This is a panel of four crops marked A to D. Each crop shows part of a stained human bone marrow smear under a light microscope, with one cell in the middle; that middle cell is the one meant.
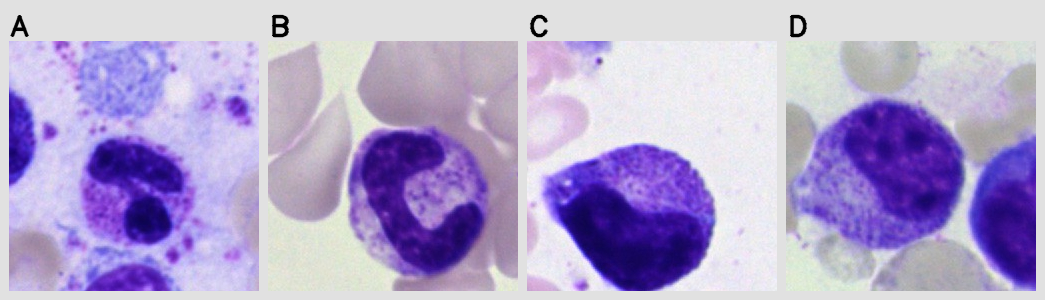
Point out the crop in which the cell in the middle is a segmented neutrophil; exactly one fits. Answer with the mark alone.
A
